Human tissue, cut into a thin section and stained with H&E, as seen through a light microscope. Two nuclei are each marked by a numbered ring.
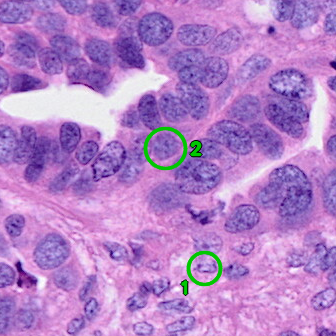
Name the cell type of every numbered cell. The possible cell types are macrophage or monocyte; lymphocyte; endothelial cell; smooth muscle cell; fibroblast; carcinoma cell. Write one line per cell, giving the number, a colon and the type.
1: fibroblast
2: carcinoma cell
